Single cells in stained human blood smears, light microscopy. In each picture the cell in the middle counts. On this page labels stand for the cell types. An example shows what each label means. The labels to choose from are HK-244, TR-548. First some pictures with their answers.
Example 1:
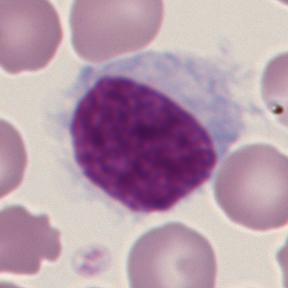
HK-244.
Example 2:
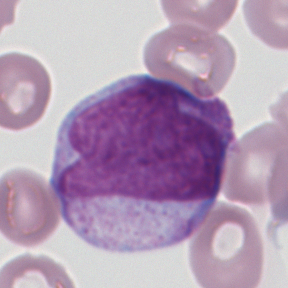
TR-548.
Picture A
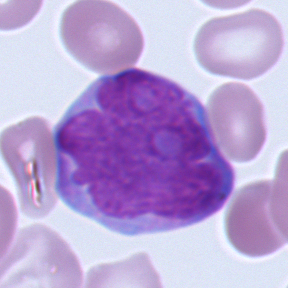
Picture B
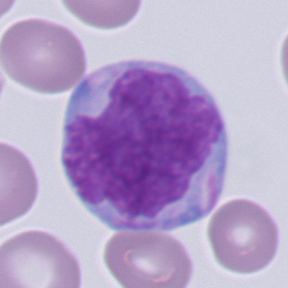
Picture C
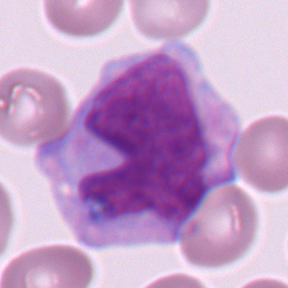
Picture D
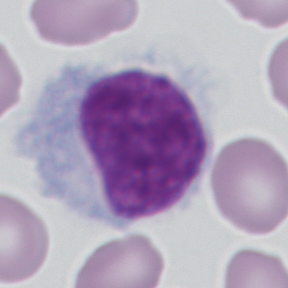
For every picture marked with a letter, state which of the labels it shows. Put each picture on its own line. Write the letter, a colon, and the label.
A: TR-548.
B: TR-548.
C: TR-548.
D: HK-244.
